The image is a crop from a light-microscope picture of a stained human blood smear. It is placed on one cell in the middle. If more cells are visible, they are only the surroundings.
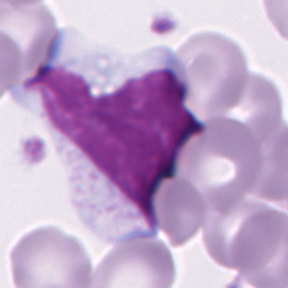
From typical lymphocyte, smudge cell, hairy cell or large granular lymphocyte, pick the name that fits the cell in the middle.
large granular lymphocyte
